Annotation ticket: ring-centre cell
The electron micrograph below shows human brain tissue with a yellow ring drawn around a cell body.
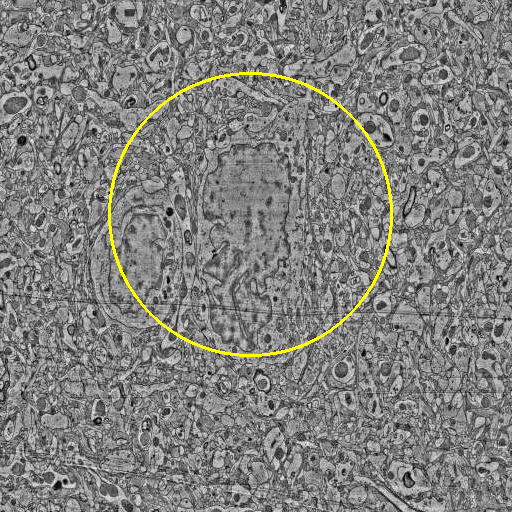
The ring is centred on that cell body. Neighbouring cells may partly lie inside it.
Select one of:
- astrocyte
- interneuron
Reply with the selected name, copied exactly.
interneuron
